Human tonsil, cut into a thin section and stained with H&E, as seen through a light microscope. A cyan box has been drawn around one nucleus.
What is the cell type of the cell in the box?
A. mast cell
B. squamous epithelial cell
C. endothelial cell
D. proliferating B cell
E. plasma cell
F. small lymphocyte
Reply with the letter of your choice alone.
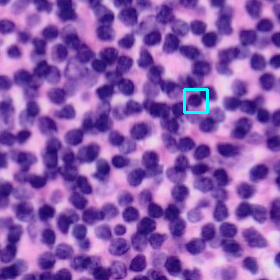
F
